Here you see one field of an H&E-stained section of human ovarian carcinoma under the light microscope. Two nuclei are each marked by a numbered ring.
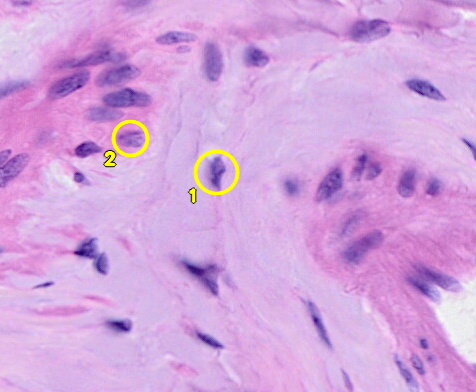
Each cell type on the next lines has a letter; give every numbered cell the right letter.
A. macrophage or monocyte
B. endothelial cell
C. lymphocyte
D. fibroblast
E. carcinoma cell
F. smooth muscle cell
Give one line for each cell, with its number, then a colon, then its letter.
1: D
2: F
